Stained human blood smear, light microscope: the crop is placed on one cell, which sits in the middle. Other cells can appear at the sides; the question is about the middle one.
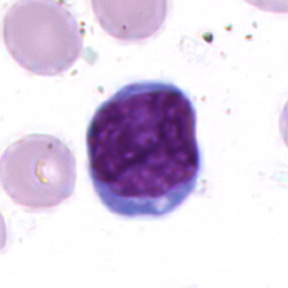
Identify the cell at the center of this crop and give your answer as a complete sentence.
The cell in the middle of this crop is a plasma cell.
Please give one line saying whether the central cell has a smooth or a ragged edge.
The outline traces a smooth curve with no projections along it.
